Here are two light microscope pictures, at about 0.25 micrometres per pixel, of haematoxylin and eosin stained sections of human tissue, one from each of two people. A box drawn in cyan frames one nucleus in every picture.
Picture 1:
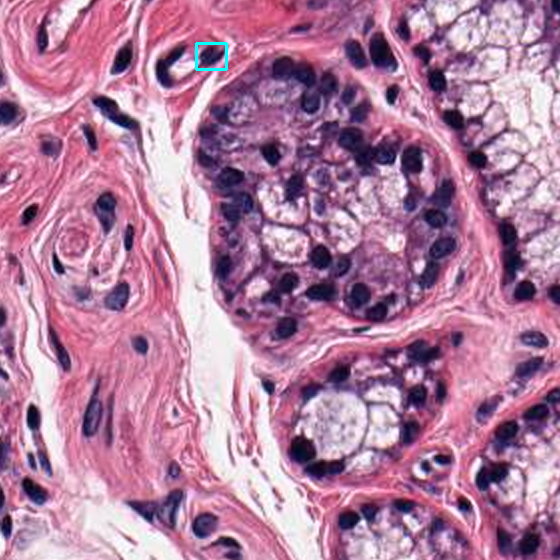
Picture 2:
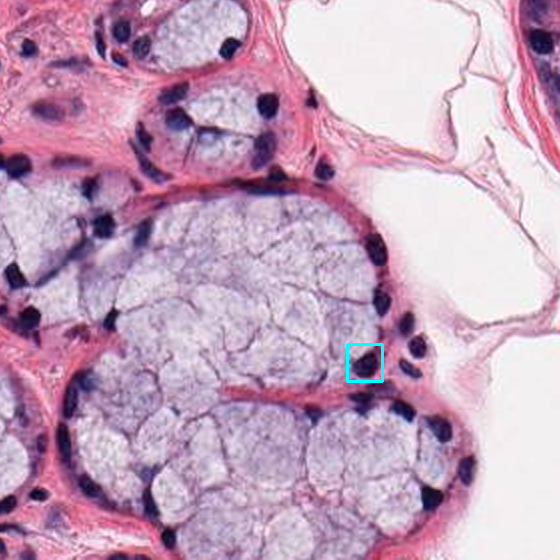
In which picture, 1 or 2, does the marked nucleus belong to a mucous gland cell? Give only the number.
2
